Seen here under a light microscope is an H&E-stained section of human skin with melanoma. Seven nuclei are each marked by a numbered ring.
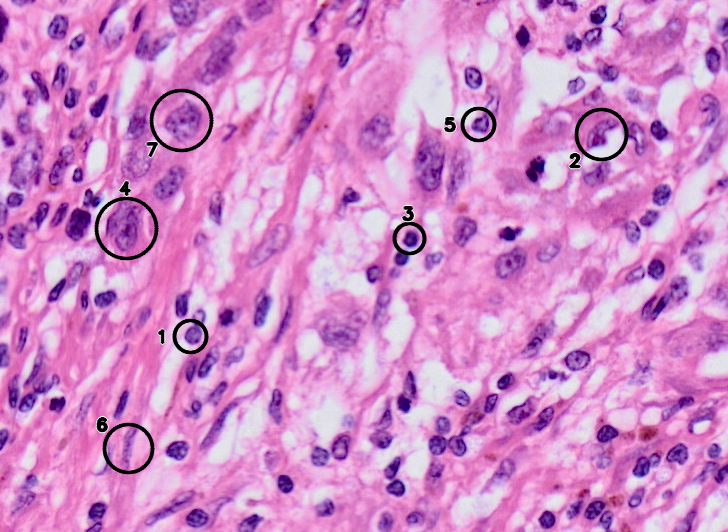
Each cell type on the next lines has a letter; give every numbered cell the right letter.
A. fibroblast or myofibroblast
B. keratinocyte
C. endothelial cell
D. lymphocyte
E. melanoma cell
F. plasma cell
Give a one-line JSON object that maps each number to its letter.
{"1": "D", "2": "E", "3": "D", "4": "E", "5": "D", "6": "A", "7": "E"}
